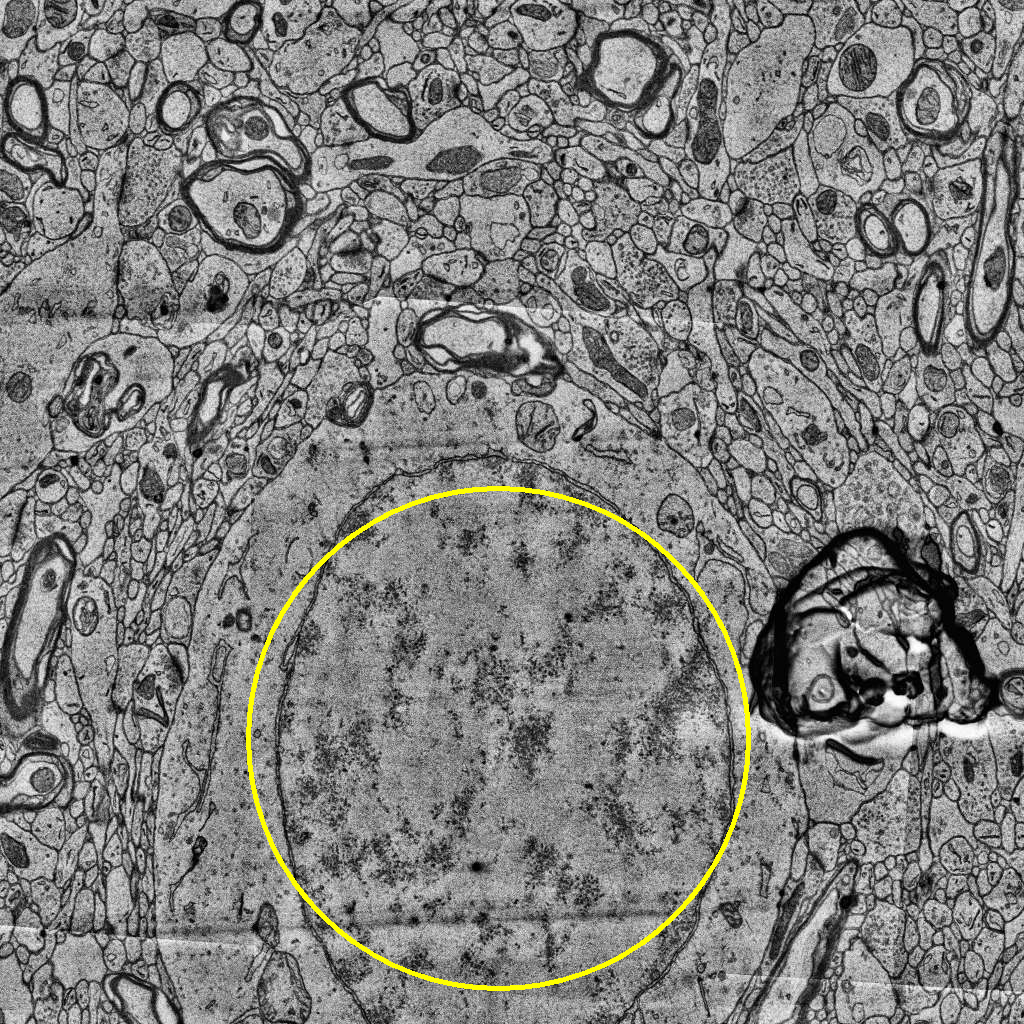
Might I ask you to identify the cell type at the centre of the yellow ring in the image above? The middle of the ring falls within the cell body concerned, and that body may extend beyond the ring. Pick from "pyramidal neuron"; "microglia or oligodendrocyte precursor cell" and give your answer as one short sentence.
The centre of the ring falls on a pyramidal neuron.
